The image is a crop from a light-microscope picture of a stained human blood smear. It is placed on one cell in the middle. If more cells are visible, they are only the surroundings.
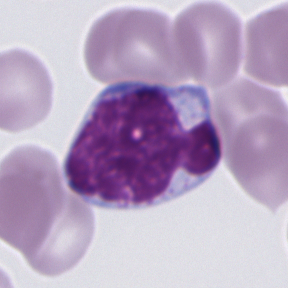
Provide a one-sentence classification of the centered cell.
The centered cell in this crop is a large granular lymphocyte.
